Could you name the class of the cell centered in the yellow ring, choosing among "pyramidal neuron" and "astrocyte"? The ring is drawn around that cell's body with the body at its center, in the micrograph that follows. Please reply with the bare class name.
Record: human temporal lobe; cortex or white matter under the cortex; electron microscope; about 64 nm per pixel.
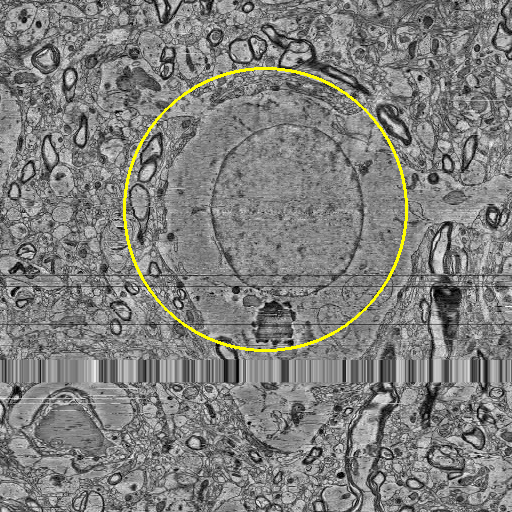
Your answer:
astrocyte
